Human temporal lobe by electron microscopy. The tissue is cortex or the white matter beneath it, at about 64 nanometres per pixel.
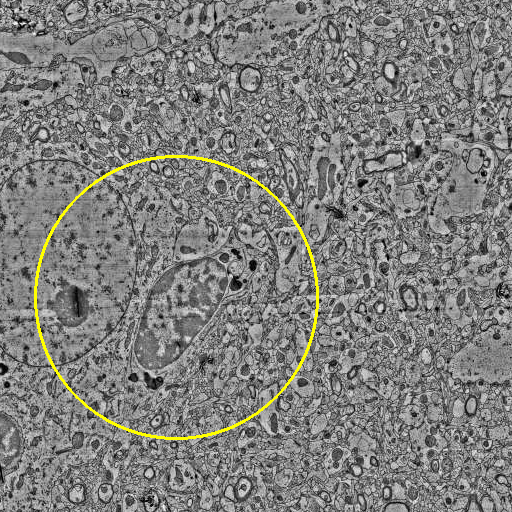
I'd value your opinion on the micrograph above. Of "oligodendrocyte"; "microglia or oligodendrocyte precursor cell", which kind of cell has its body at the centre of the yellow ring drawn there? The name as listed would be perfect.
microglia or oligodendrocyte precursor cell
